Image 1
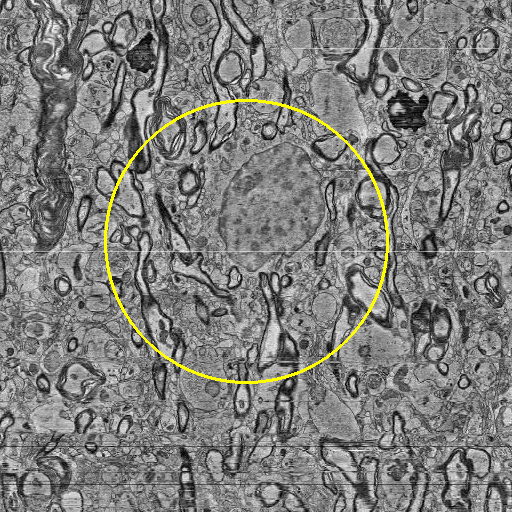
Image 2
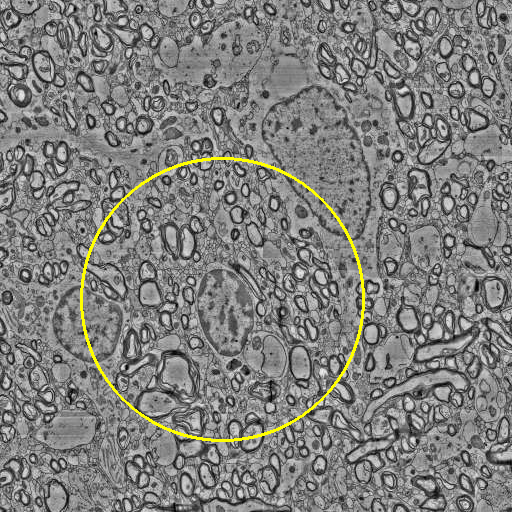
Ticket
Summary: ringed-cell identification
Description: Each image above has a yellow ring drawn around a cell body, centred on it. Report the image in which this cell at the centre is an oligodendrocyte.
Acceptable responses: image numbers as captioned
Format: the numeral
1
